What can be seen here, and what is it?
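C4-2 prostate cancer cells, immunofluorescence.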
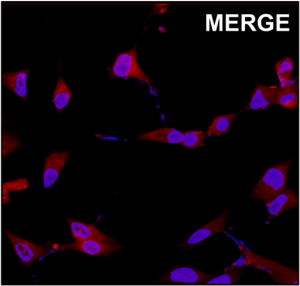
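Where red overlies the blue nuclear stain, the oval nuclei appear purple-pink and brighter than their surroundings. A fainter red haze also fills the cytoplasm around them. The cells are irregular and polygonal, some with short extensions, and lie loosely spread with a few in small groups.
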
